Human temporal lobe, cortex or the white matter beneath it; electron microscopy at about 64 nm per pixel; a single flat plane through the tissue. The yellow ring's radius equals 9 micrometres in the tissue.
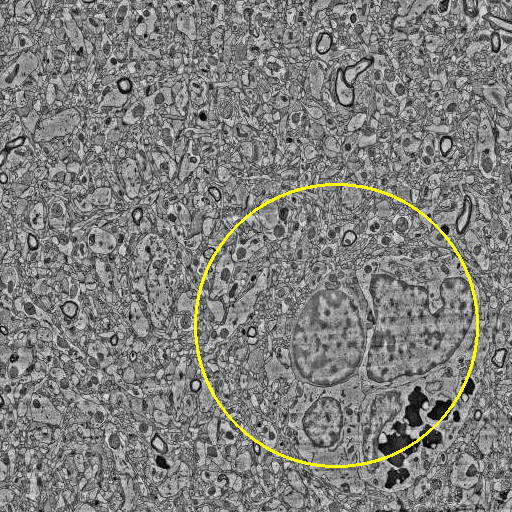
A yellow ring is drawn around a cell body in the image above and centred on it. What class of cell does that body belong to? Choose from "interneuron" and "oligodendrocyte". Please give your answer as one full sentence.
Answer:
The yellow ring above is centred on the cell body of an oligodendrocyte.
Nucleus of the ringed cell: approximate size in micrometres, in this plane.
The nucleus is approximately 6 micrometers long by 5 micrometers wide in this plane.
